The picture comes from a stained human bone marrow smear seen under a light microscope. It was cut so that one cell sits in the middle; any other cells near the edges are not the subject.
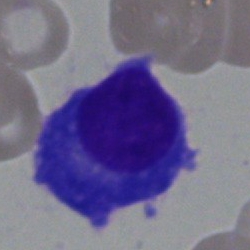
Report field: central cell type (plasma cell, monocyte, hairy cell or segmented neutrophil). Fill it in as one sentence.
Centrally within this crop lies a plasma cell.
